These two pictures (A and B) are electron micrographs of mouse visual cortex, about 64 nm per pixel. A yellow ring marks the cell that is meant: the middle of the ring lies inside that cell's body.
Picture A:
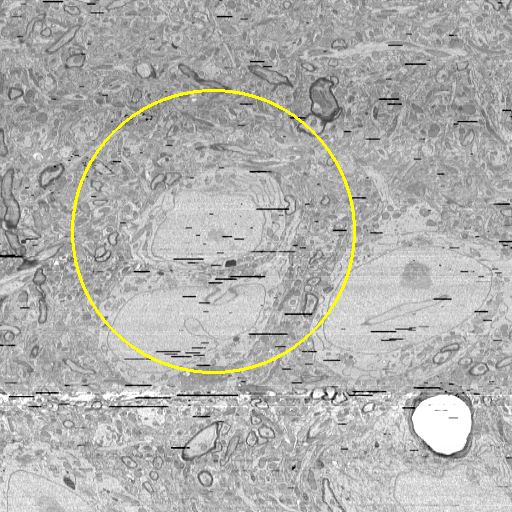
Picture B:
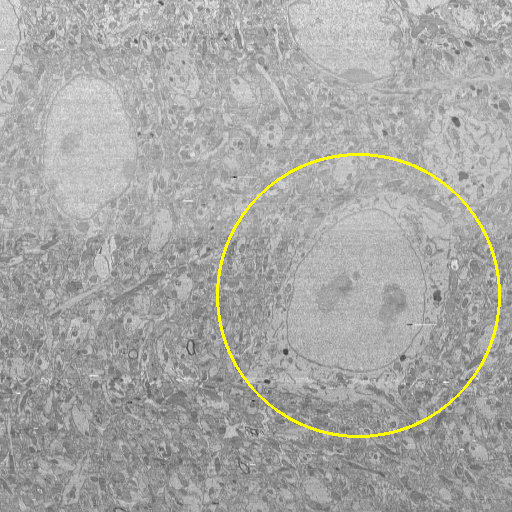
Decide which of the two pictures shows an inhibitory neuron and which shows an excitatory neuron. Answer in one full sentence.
In picture A the cell is an inhibitory neuron; in picture B, an excitatory neuron.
